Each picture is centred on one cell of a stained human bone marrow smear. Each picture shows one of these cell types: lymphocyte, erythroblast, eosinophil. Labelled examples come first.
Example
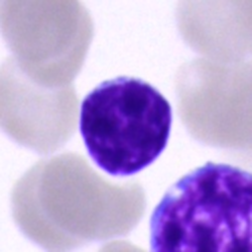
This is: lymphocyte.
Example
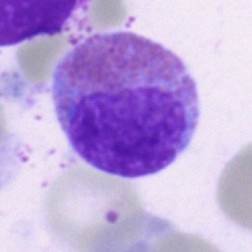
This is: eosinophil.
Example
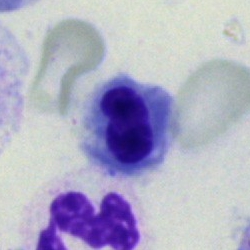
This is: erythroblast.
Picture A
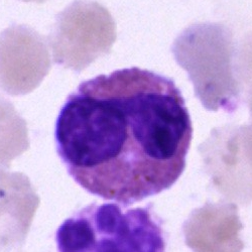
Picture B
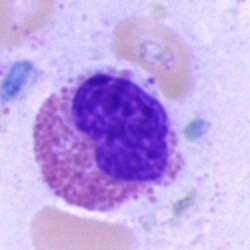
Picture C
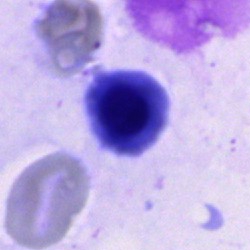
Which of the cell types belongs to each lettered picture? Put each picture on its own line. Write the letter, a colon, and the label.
A: eosinophil.
B: eosinophil.
C: erythroblast.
